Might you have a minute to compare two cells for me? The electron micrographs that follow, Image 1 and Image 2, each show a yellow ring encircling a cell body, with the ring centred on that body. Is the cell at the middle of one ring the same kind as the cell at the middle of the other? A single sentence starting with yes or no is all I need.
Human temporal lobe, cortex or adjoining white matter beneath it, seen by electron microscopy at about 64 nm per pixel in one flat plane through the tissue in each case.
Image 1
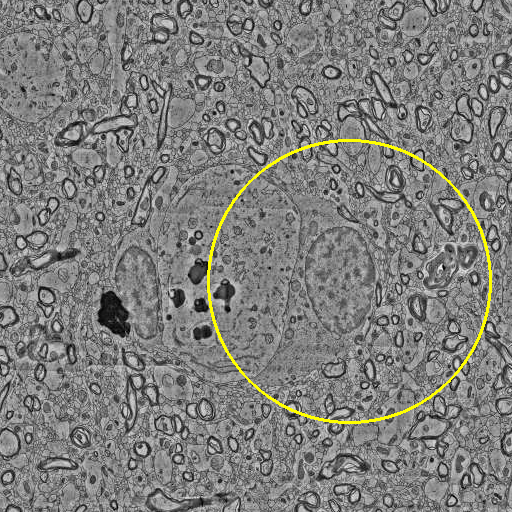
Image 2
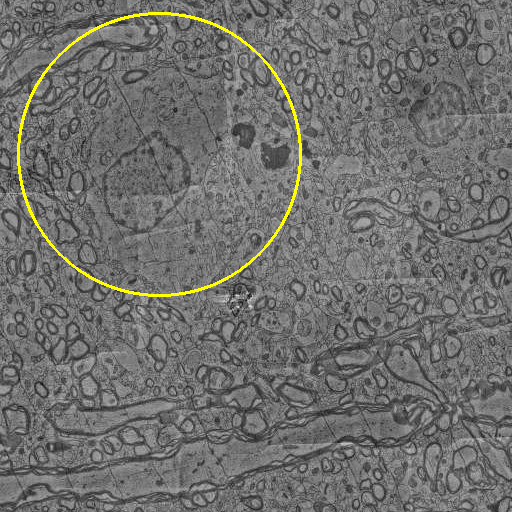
No, the cells in the middle of the two rings are of two separate kinds.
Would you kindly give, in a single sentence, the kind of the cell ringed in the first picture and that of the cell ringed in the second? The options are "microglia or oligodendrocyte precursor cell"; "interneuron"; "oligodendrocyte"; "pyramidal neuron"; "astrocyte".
The second cell is an astrocyte, and the first cell is an oligodendrocyte.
